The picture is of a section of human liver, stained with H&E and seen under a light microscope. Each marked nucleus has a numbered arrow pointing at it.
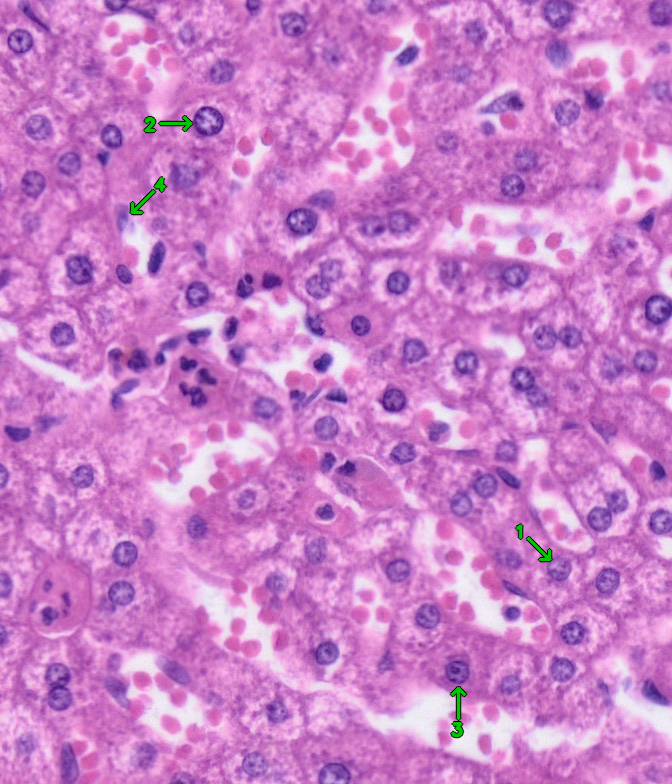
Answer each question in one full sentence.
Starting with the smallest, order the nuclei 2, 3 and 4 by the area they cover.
Smallest first, the nuclei run 4, 3, 2.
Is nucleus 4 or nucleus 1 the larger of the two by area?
Nucleus 1 covers more area, about 1.5 times as much as nucleus 4.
